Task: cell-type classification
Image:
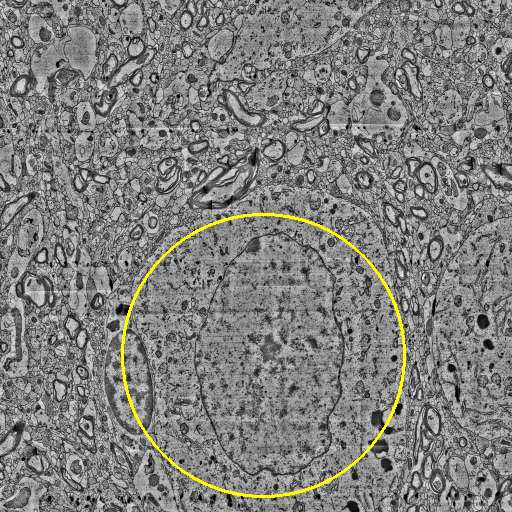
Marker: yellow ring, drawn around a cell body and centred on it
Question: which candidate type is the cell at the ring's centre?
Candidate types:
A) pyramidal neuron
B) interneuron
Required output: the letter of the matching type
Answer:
A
